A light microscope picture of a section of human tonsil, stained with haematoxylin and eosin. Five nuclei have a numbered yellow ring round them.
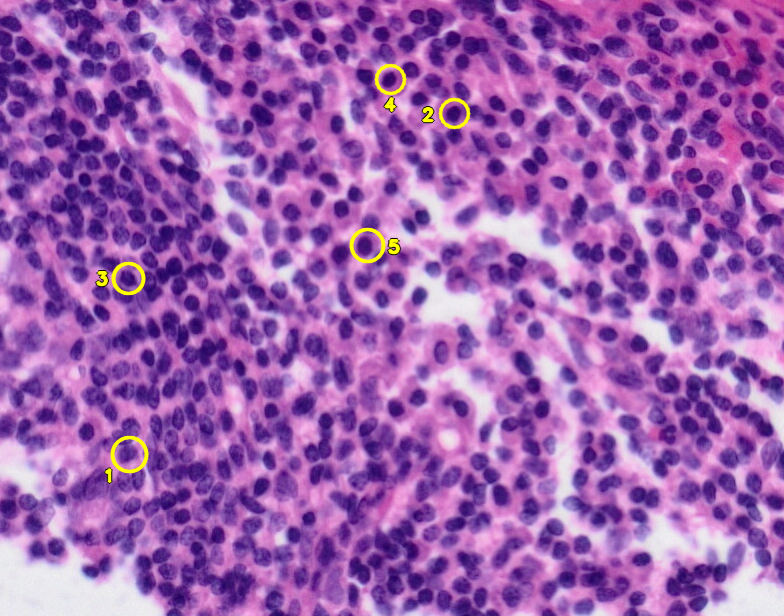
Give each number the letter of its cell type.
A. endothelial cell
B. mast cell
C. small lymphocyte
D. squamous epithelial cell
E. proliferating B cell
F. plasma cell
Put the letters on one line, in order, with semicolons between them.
C; F; C; F; F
